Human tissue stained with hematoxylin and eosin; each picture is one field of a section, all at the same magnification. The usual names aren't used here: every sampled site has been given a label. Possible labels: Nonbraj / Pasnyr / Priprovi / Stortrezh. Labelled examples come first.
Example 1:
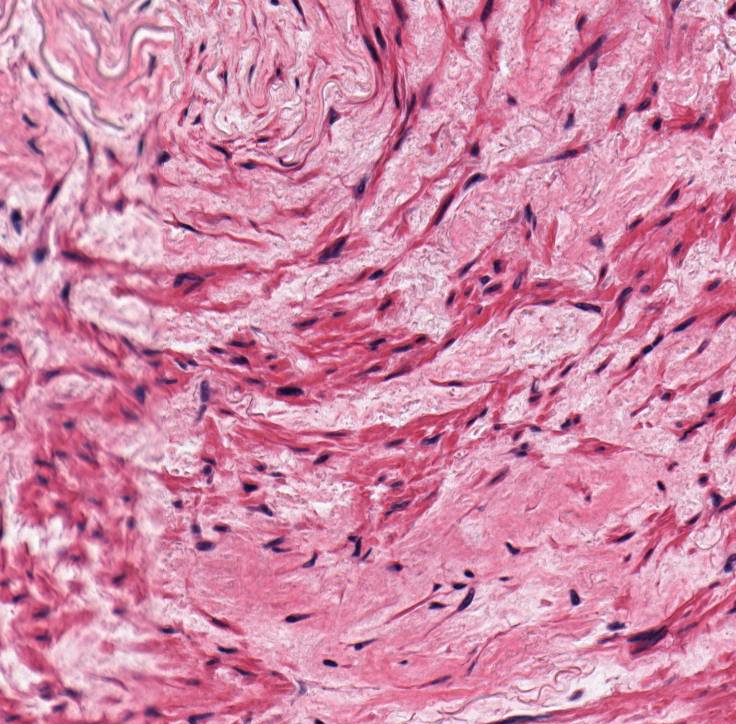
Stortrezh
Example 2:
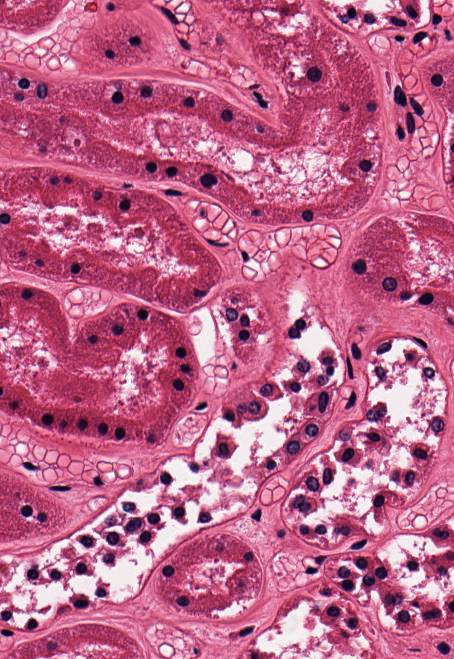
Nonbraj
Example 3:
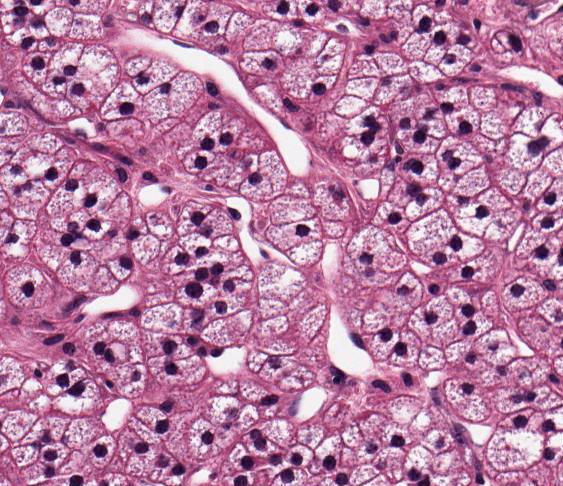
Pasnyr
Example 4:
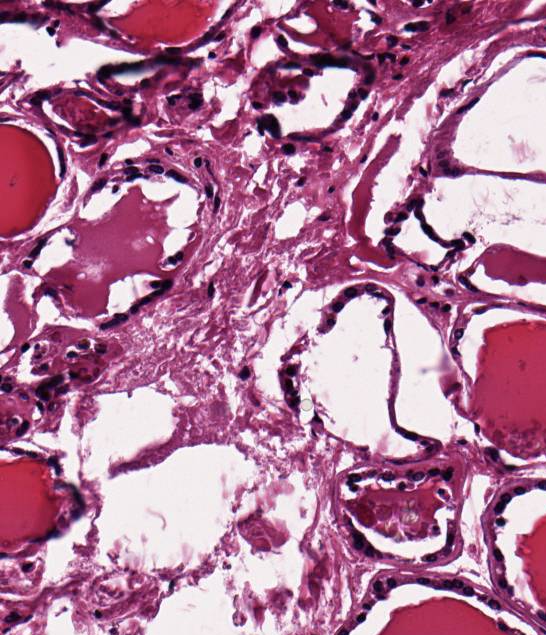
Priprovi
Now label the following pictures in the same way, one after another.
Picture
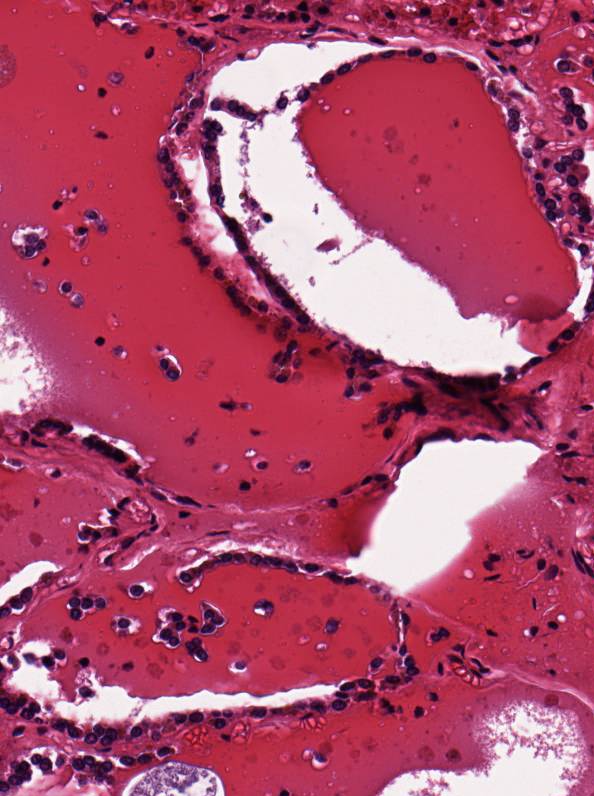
Priprovi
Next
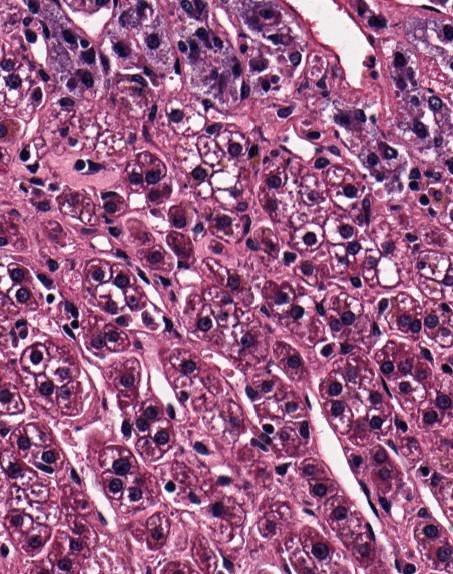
Pasnyr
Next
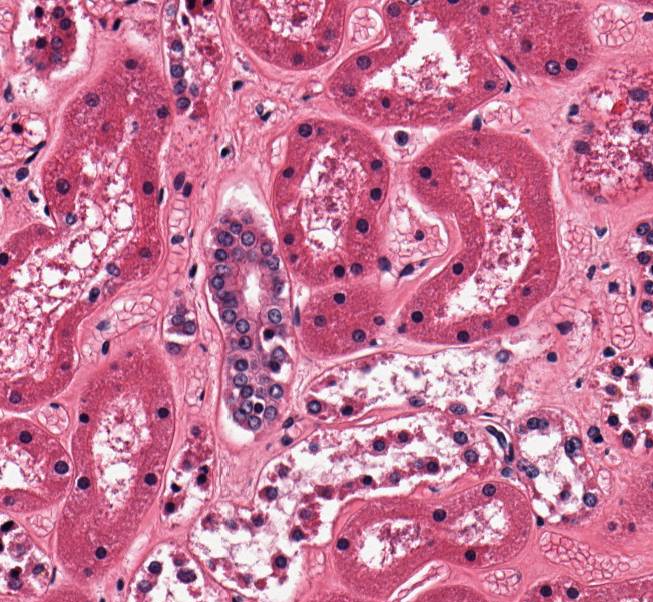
Nonbraj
